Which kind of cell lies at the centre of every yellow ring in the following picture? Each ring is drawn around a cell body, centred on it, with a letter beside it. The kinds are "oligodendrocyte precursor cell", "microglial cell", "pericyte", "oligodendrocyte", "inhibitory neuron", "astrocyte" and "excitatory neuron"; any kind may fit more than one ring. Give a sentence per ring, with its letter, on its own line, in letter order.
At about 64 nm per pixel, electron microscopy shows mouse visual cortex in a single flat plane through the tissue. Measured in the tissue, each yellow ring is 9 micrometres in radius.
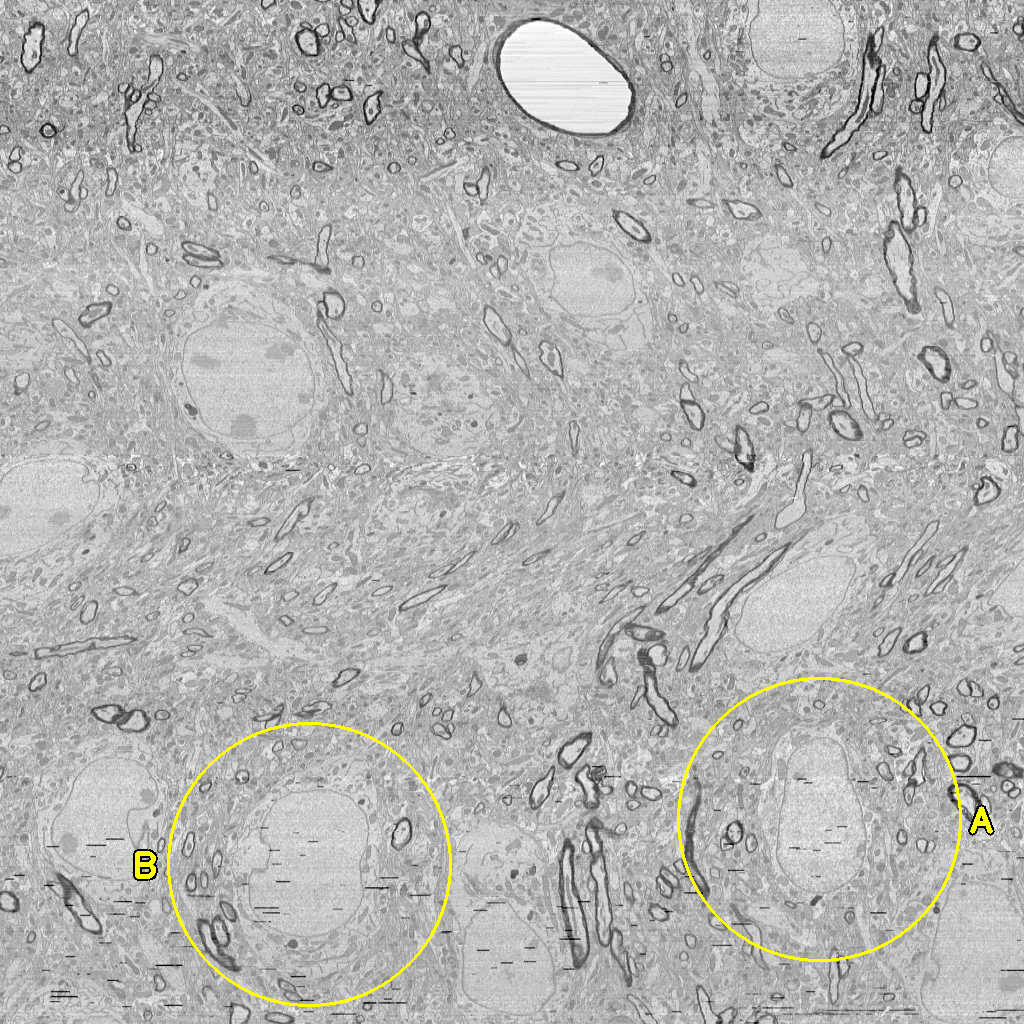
The cell body centred in ring A is that of an astrocyte.
The cell body centred in ring B is that of an excitatory neuron.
